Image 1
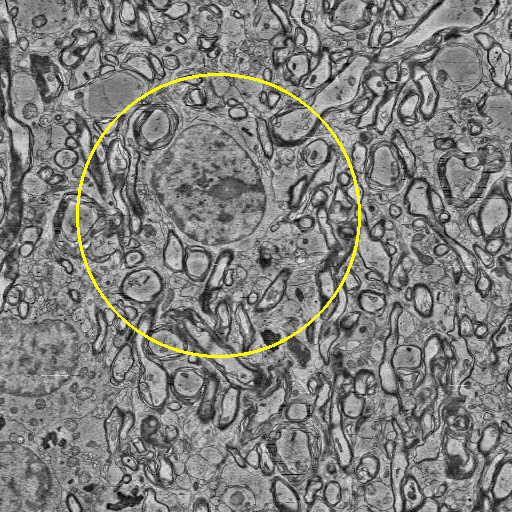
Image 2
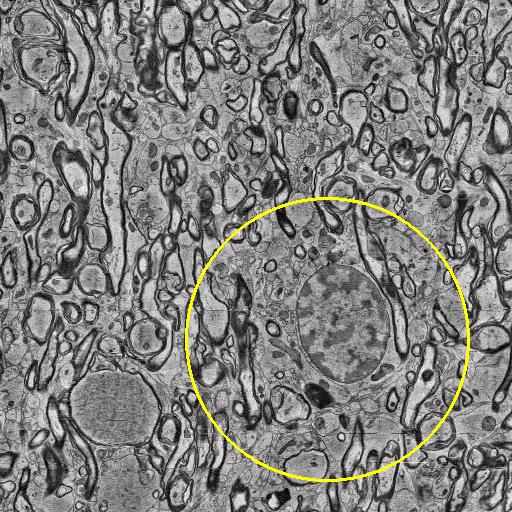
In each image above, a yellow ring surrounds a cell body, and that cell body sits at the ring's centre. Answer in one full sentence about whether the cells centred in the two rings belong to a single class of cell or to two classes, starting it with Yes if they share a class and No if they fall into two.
Yes, the cells centred in the two yellow rings belong to a single class of cell.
